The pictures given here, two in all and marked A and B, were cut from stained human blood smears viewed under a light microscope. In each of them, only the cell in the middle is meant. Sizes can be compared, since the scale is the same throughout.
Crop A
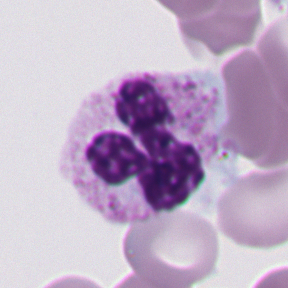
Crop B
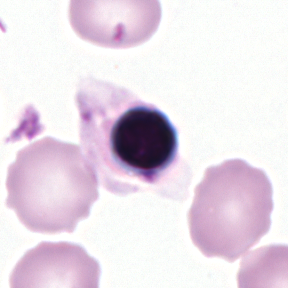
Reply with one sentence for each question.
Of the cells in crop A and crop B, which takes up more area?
Crop A holds the larger cell; it covers about 4 times the area of the cell in crop B.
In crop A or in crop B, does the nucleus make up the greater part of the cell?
In crop B the nucleus takes up the larger part of its cell.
